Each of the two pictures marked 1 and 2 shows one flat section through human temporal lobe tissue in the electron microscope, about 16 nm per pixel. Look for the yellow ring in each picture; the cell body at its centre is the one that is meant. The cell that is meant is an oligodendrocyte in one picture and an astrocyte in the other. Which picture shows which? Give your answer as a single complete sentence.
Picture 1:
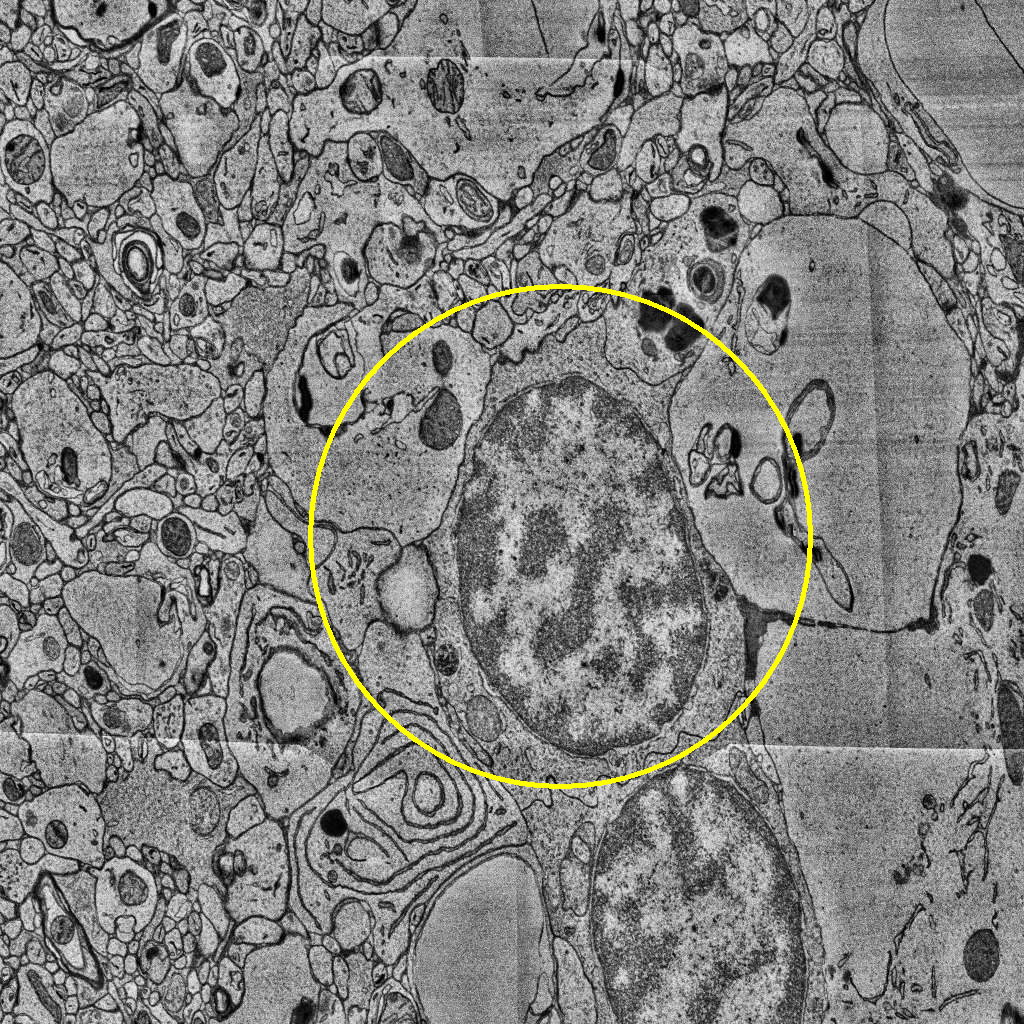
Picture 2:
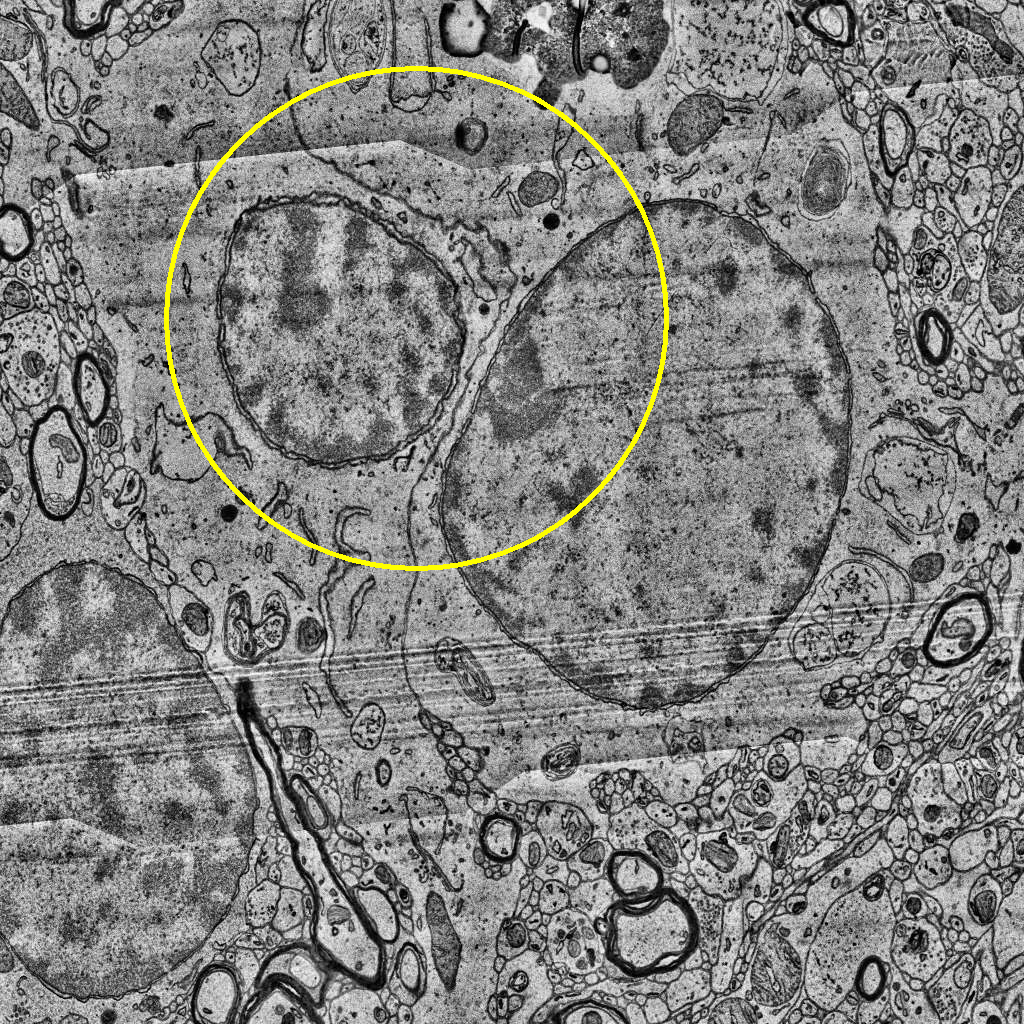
Picture 1 is of an oligodendrocyte, and picture 2 is of an astrocyte.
